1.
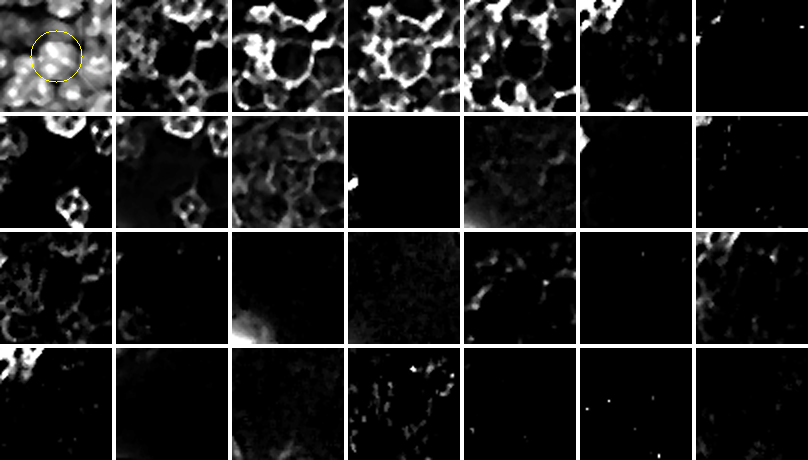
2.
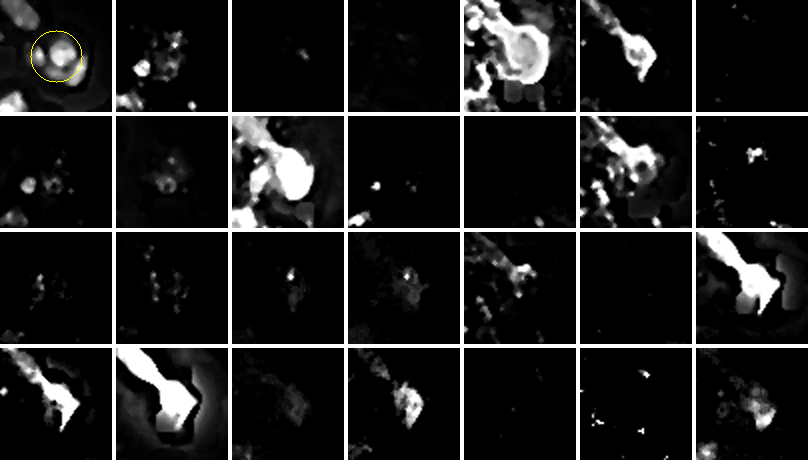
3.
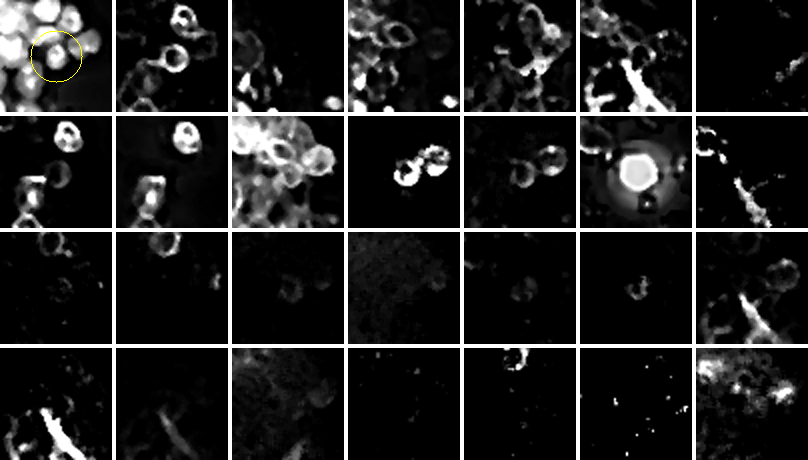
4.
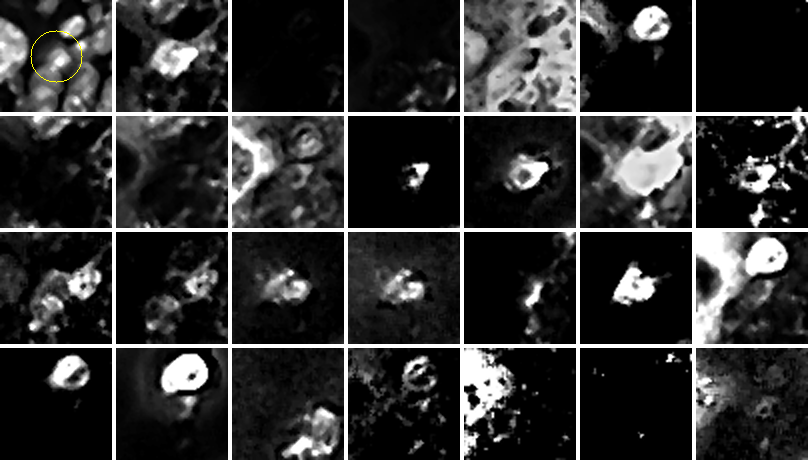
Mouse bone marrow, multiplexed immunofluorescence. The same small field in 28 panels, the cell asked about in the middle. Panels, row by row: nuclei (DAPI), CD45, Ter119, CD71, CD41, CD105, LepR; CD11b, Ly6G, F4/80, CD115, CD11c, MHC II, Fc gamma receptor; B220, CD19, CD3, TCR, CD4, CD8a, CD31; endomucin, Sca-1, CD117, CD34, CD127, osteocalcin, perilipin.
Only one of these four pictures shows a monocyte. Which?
Picture 3.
